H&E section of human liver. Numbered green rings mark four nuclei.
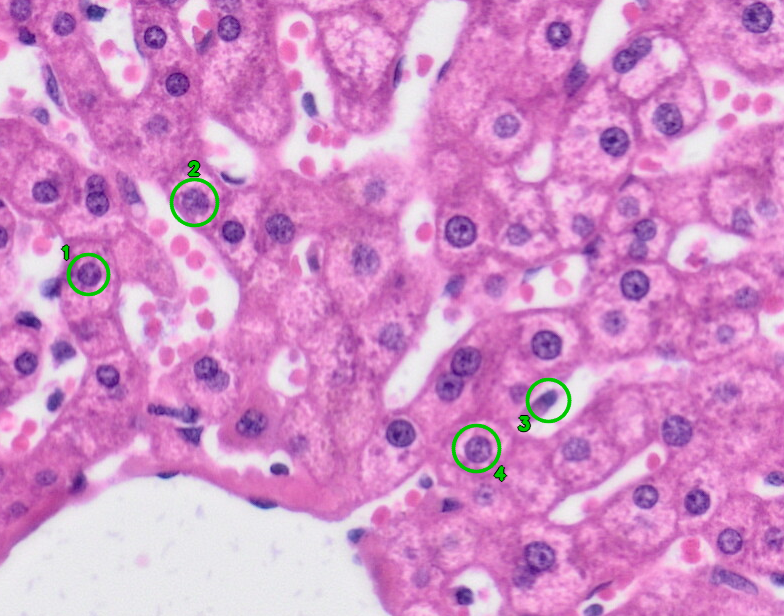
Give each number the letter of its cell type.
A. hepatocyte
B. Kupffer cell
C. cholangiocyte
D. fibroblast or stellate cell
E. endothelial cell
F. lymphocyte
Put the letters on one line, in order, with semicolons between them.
A; A; B; A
